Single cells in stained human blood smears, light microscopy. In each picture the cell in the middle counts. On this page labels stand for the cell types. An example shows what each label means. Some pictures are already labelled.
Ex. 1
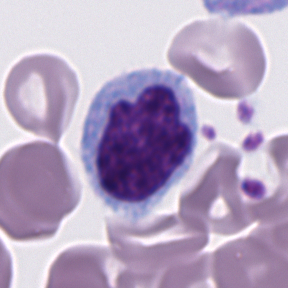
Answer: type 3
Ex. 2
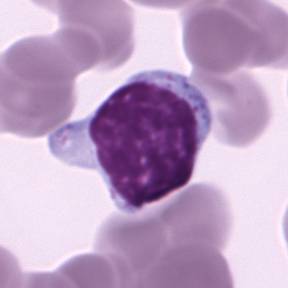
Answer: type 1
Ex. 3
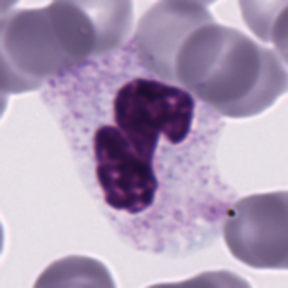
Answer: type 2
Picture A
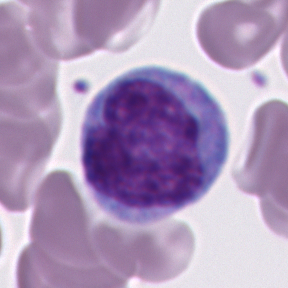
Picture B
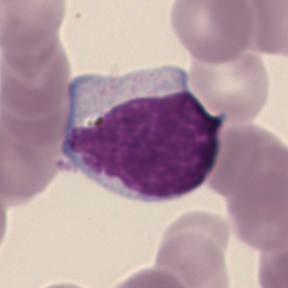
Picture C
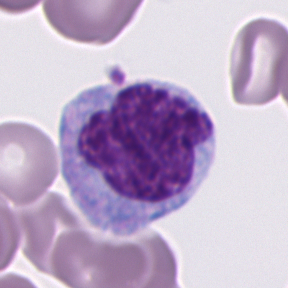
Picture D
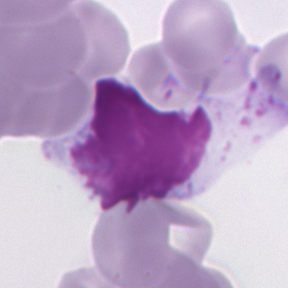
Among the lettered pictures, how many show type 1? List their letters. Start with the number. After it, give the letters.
2: B, D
